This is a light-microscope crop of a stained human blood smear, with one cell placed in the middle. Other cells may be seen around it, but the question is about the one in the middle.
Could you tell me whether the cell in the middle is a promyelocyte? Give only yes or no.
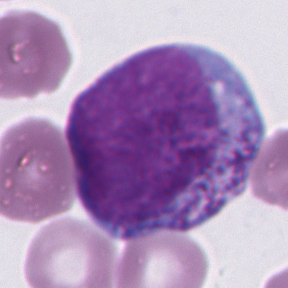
yes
